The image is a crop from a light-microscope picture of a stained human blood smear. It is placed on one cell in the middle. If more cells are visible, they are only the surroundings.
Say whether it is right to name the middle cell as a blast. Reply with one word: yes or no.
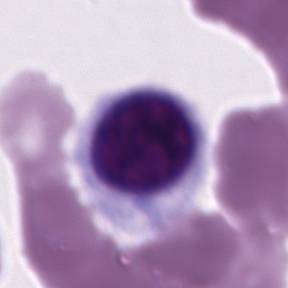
no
